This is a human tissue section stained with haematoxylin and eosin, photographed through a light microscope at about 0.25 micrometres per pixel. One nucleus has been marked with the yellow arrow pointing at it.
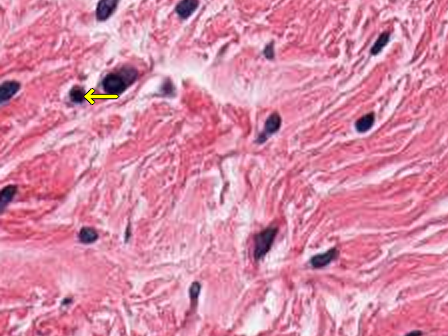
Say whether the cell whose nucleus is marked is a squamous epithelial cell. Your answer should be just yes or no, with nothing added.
no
